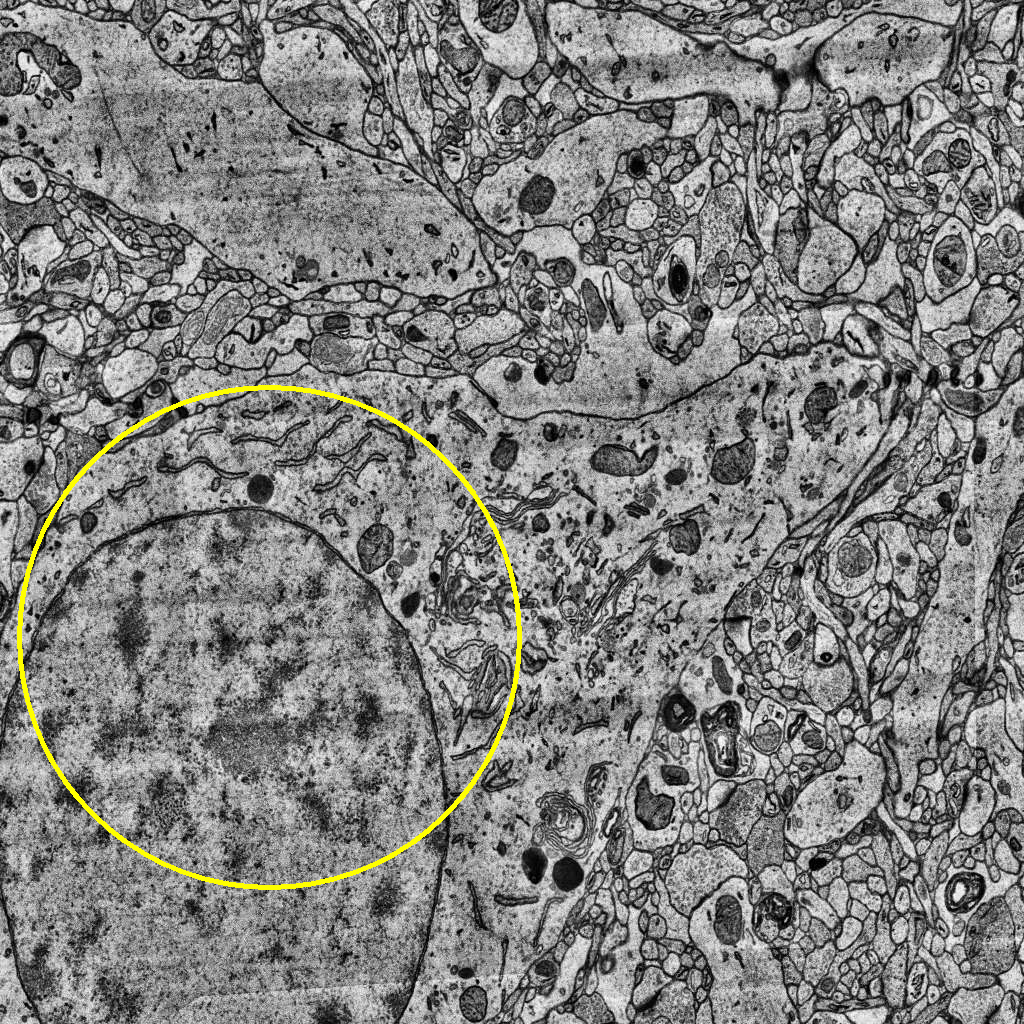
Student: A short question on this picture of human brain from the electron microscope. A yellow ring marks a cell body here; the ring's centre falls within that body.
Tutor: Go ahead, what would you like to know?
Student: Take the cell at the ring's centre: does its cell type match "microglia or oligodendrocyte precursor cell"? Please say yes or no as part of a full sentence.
No, the cell found at the ring's centre in the picture has another cell type.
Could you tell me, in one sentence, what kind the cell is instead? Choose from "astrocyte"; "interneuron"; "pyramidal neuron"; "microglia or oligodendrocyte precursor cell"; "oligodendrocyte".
It is a pyramidal neuron at the centre of the ring.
